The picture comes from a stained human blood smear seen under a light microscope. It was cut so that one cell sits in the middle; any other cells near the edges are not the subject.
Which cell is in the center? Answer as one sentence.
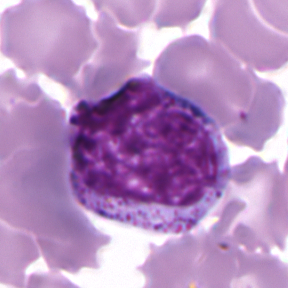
The cell centered in this field of view is a myelocyte.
